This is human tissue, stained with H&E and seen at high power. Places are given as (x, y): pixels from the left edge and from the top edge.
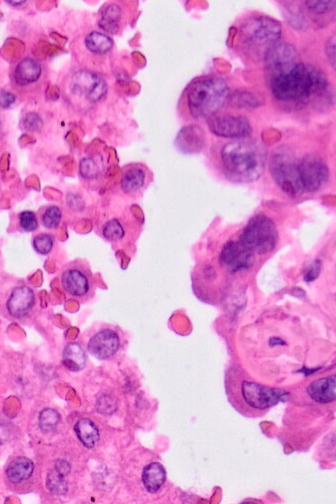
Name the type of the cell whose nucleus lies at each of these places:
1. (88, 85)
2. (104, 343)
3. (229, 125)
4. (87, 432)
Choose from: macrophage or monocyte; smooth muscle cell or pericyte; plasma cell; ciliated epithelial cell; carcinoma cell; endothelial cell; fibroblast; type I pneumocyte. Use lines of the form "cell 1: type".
cell 1: macrophage or monocyte
cell 2: macrophage or monocyte
cell 3: carcinoma cell
cell 4: macrophage or monocyte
